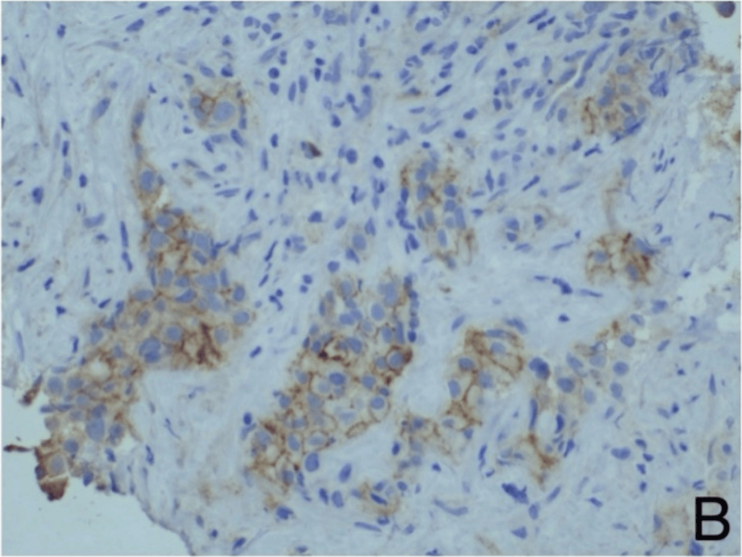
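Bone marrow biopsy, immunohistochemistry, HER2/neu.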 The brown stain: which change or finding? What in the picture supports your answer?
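Brown stain outlines parts of cell borders in the nests. Many cell borders are only partly outlined or not outlined at all. The stain is faint in much of the nests.
Hence: incomplete membrane staining.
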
